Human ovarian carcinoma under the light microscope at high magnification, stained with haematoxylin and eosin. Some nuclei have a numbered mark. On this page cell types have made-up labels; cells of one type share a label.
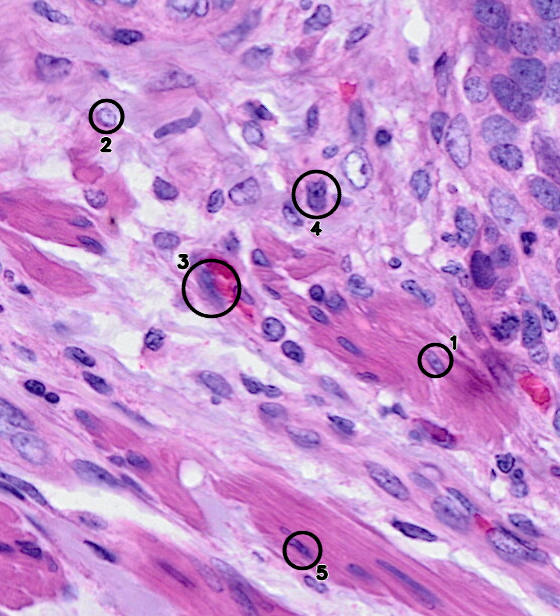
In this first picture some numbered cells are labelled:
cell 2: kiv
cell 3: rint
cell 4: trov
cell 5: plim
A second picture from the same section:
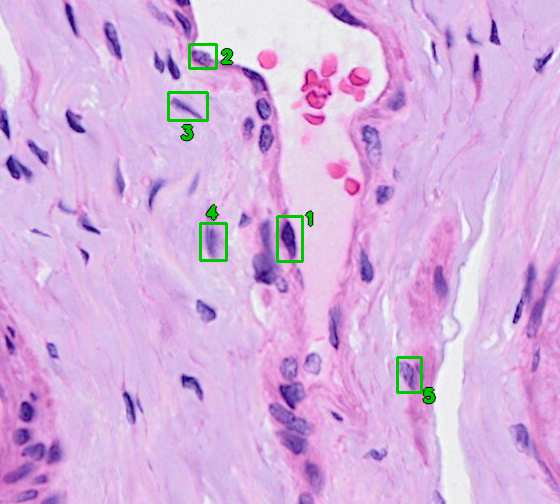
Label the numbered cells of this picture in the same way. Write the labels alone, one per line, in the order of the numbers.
rint
rint
kiv
kiv
plim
